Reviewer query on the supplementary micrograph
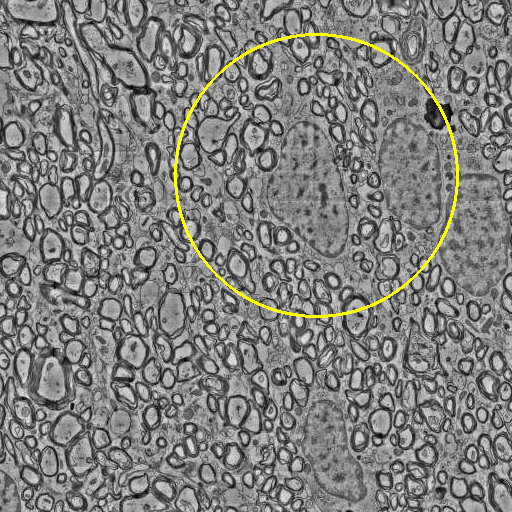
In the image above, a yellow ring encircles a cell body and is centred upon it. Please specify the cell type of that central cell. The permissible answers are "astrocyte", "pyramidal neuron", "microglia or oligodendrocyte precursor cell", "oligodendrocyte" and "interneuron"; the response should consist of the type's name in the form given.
microglia or oligodendrocyte precursor cell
